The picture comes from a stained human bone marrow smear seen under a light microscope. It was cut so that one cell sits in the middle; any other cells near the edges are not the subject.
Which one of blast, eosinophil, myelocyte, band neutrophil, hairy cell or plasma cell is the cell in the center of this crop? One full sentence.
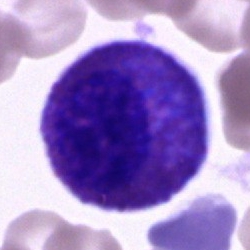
The central cell, amid any neighbouring cells, is an eosinophil.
